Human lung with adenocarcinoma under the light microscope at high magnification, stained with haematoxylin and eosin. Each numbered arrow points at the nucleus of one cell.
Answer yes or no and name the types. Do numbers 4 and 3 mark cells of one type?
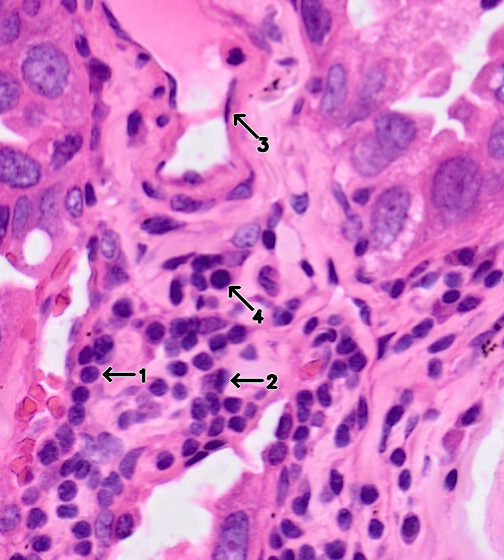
No, cell number 4 is a lymphocyte, and cell number 3 is an endothelial cell.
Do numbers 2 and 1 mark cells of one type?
Yes, cells 2 and 1 both belong to the category of lymphocytes.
